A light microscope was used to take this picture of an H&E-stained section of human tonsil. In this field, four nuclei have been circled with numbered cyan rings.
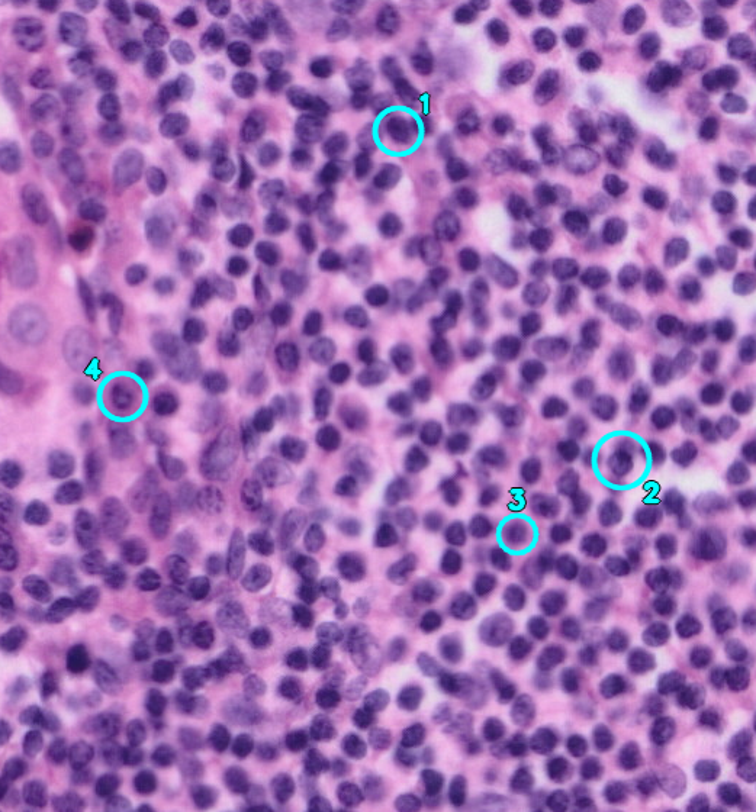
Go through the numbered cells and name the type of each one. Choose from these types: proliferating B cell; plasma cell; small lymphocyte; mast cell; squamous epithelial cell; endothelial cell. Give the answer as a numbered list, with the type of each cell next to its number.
1. small lymphocyte
2. small lymphocyte
3. small lymphocyte
4. plasma cell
